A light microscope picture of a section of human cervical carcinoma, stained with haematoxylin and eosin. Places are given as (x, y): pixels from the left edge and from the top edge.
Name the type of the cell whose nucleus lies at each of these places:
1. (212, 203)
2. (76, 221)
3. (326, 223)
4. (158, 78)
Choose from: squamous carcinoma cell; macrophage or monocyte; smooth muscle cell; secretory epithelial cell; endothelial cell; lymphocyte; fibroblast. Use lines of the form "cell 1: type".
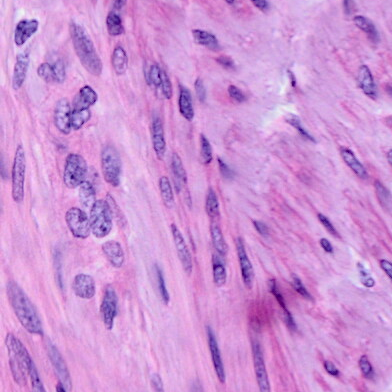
cell 1: smooth muscle cell
cell 2: endothelial cell
cell 3: smooth muscle cell
cell 4: smooth muscle cell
